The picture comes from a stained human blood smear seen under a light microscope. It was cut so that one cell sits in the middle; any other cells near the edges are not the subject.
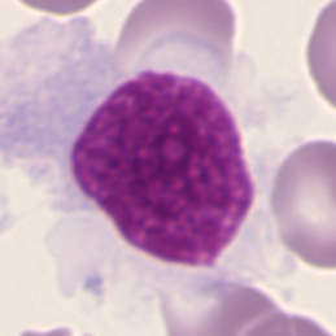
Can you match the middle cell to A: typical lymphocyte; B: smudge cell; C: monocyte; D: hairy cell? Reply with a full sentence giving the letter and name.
Option D is correct; the cell in the middle is a hairy cell.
